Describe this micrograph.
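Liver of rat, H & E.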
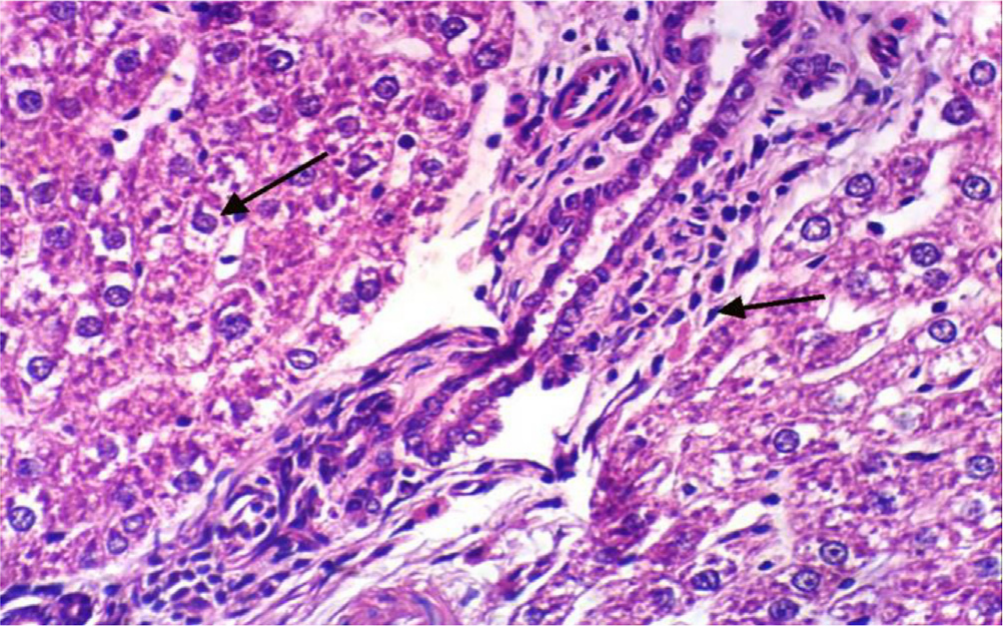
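The hepatocytes are large polygonal cells with round central nuclei and prominent nucleoli. Their pink cytoplasm is pale, granular and vacuolated rather than evenly eosinophilic, as in hydropic degeneration. The portal tract contains a small thick-walled vessel and ducts, and its connective tissue is crowded with many small, dark-staining mononuclear cells that infiltrate the area.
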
